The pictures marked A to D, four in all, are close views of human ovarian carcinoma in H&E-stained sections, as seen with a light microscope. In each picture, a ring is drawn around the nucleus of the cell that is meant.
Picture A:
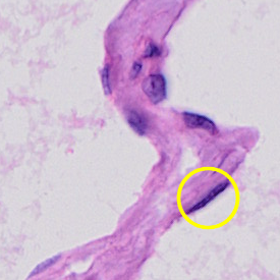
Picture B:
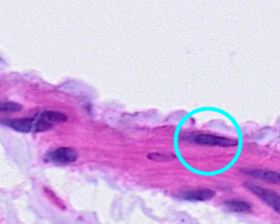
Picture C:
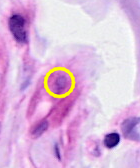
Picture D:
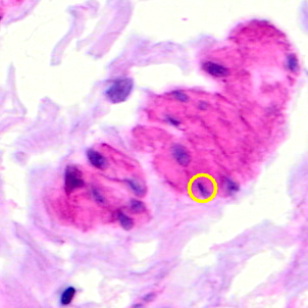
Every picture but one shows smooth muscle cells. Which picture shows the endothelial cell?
A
